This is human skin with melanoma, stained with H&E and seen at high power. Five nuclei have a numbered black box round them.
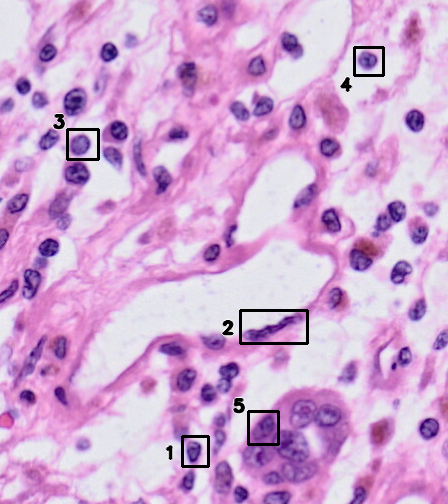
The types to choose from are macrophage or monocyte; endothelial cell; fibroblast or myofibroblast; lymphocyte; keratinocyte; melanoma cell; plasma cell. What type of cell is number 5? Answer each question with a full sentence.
Nucleus 5 in this section belongs to a melanoma cell.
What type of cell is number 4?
Cell 4 in the field of view is a lymphocyte.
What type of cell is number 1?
Belonging to a lymphocyte is the nucleus that carries the number 1.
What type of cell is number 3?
Here the cell numbered 3 is a lymphocyte.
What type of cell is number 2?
The cell bearing label 2 corresponds to an endothelial cell.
